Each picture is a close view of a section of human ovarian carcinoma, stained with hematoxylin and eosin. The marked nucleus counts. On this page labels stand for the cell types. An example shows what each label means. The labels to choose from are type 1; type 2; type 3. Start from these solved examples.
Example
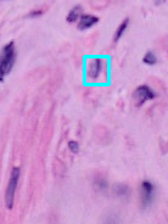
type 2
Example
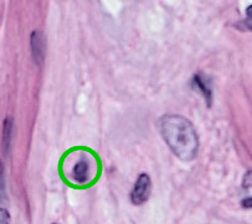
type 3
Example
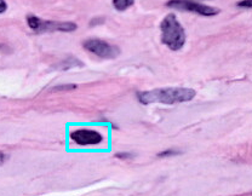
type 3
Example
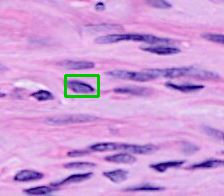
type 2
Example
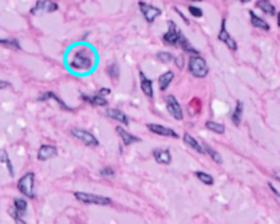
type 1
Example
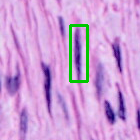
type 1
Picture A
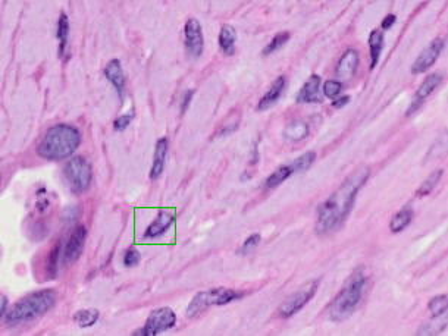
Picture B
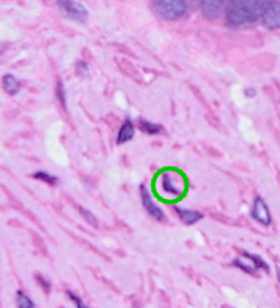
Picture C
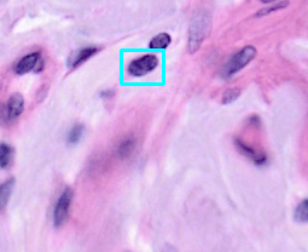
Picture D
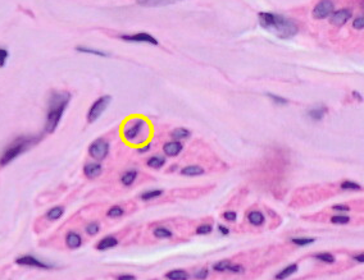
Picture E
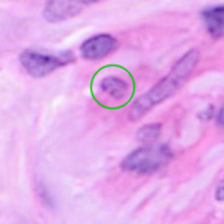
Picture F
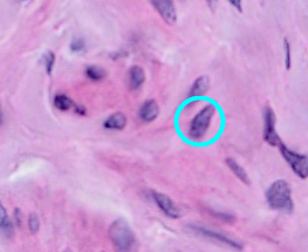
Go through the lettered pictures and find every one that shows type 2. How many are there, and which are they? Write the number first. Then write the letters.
Count: 3 (D, E, F)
